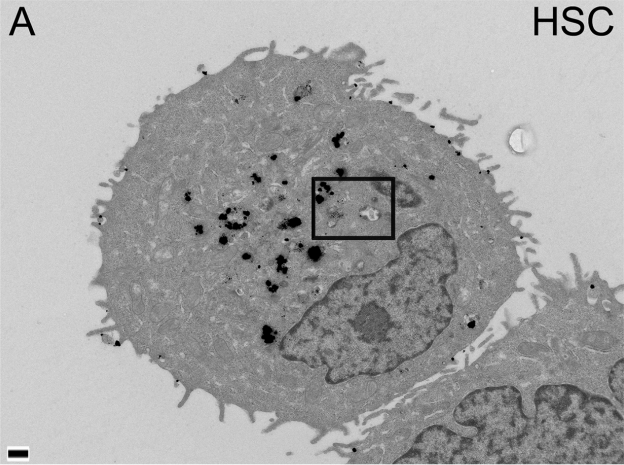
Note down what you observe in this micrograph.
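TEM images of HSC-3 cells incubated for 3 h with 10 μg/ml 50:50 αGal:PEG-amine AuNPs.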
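A single rounded cell is seen in section, with numerous short finger-like projections along its surface and a large, irregularly outlined nucleus with a dense nucleolus. Many very electron-dense black clusters of varying size are scattered through the cytoplasm, mostly on one side of the nucleus, and a few small black dots lie at the cell surface. Part of a neighbouring cell lies at the lower right.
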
